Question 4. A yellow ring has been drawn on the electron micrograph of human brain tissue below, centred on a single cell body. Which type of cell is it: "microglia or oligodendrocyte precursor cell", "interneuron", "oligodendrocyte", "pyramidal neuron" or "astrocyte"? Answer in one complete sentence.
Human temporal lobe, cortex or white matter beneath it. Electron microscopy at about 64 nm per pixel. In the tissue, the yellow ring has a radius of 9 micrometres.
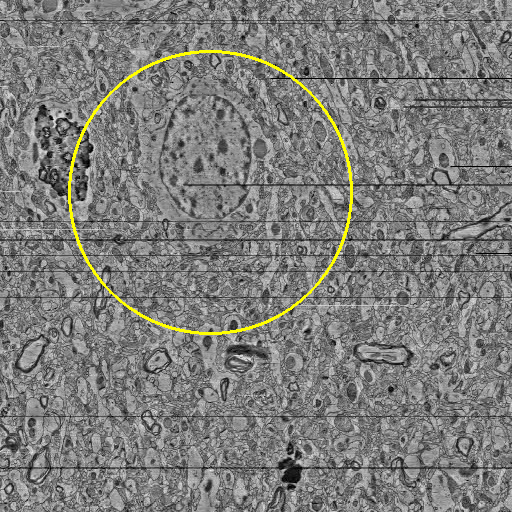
This cell body belongs to an astrocyte.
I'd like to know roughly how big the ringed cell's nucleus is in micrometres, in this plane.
The ringed cell's nucleus measures approximately 8 by 6 micrometres in this plane.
